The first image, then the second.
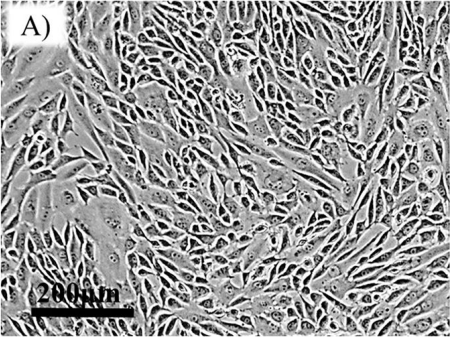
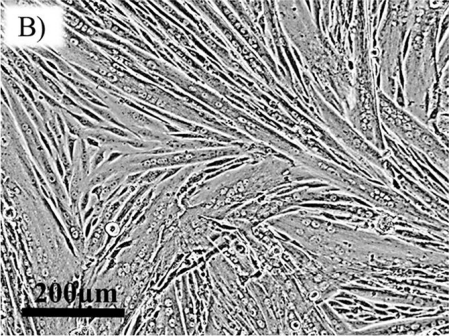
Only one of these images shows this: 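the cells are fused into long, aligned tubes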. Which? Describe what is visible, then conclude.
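Second image: long, thin, parallel elongated structures dominate the field. First image: short, separate polygonal and spindle-shaped cells in a mosaic.
The second image.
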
